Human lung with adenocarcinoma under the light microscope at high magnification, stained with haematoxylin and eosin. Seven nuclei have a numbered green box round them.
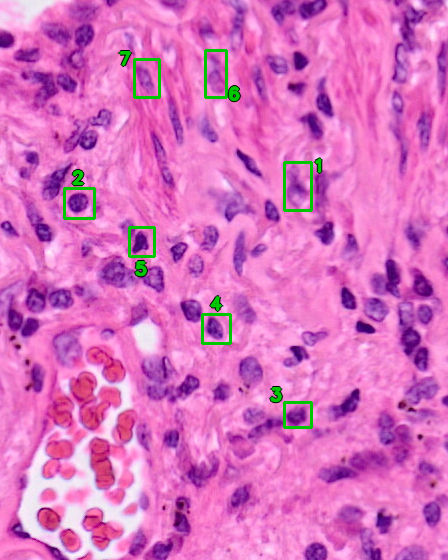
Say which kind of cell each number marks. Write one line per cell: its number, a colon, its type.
1: fibroblast
2: lymphocyte
3: plasma cell
4: lymphocyte
5: lymphocyte
6: smooth muscle cell or pericyte
7: smooth muscle cell or pericyte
